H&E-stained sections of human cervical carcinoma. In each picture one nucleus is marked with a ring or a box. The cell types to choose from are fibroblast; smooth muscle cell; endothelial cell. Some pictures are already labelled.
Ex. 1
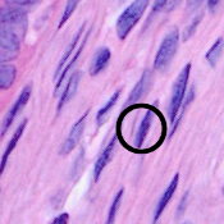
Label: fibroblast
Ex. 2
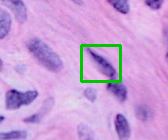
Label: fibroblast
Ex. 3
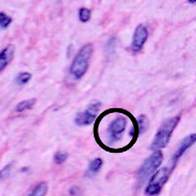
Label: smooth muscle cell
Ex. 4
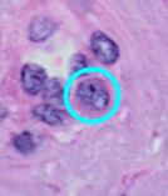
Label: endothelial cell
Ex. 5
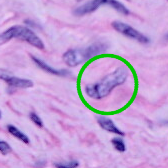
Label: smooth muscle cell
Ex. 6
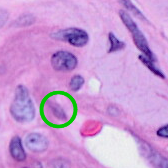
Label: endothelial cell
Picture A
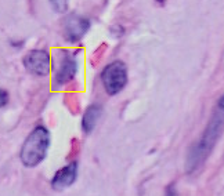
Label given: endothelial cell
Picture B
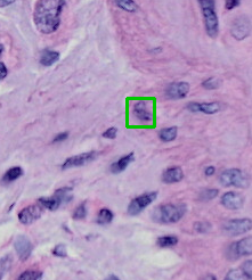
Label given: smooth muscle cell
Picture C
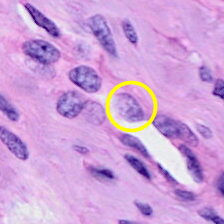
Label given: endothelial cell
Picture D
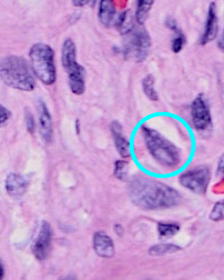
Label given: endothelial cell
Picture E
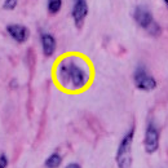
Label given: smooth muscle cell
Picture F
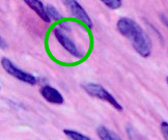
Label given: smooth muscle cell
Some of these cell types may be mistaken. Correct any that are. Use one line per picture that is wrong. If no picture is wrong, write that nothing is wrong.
F is labelled smooth muscle cell; correct label: fibroblast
